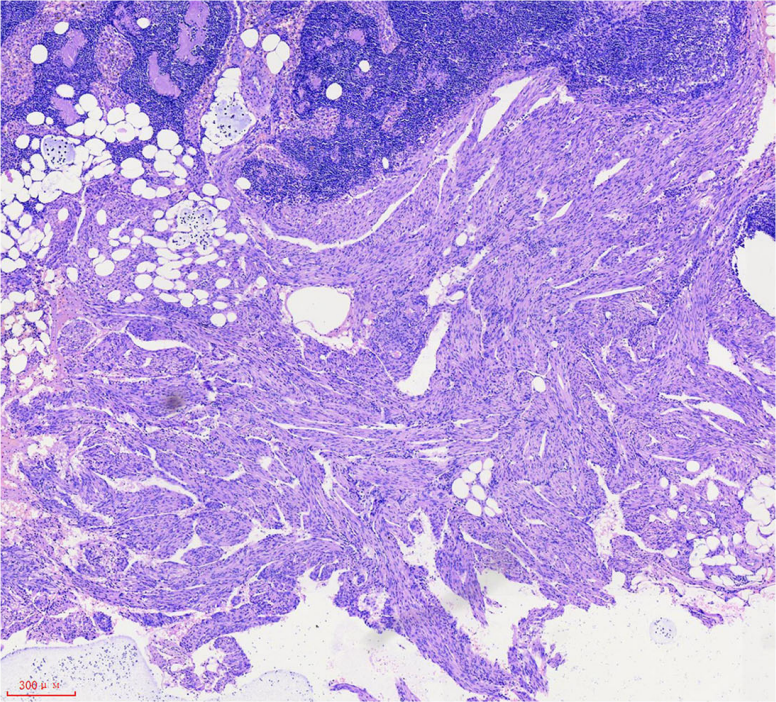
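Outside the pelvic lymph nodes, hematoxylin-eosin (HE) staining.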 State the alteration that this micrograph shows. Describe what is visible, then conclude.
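Pale pink-purple spindle cells form interlacing bundles across most of the field. Clusters of empty round fat cells sit at the left and right margins. That points to this answer: fascicular proliferative smooth muscle-like spindle cell area.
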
